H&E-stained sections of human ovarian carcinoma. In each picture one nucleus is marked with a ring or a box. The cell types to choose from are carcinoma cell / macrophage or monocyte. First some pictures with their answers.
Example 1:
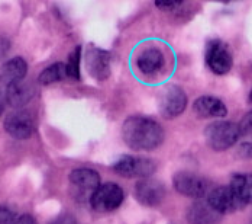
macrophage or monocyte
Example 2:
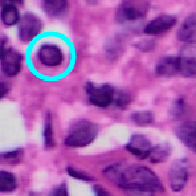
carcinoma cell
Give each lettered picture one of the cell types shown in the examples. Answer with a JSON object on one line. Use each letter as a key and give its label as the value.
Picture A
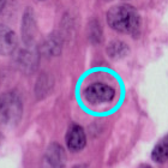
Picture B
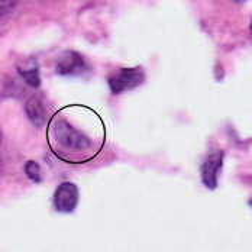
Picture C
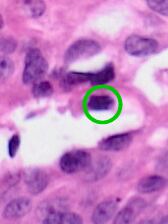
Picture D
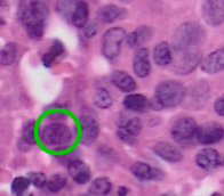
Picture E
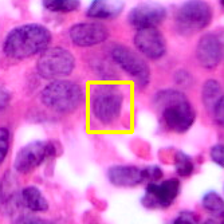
{"A": "macrophage or monocyte", "B": "macrophage or monocyte", "C": "carcinoma cell", "D": "carcinoma cell", "E": "carcinoma cell"}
